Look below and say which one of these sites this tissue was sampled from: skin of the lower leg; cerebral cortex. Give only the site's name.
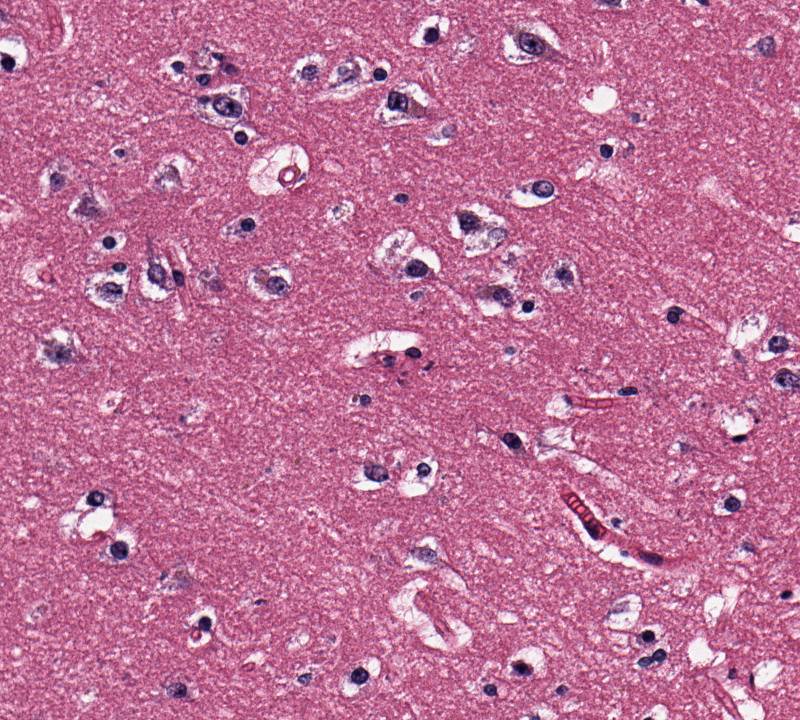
cerebral cortex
